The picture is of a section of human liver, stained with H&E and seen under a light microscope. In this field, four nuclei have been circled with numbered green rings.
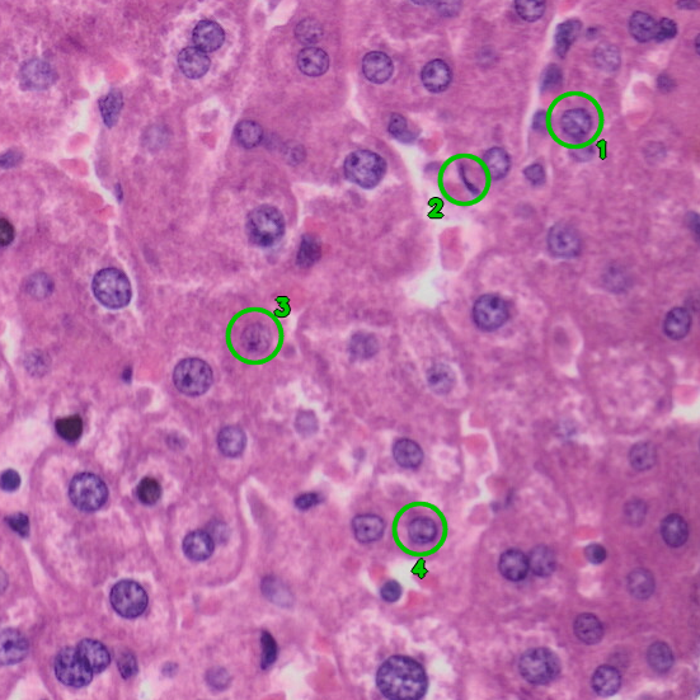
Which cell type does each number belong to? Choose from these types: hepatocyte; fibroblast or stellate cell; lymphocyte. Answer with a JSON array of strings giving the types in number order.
["hepatocyte", "fibroblast or stellate cell", "hepatocyte", "hepatocyte"]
